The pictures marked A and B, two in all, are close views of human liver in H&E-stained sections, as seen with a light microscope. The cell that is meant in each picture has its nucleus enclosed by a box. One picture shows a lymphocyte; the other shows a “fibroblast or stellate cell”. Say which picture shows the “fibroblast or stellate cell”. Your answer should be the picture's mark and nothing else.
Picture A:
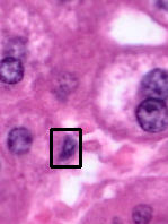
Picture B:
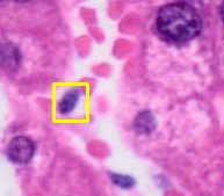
A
